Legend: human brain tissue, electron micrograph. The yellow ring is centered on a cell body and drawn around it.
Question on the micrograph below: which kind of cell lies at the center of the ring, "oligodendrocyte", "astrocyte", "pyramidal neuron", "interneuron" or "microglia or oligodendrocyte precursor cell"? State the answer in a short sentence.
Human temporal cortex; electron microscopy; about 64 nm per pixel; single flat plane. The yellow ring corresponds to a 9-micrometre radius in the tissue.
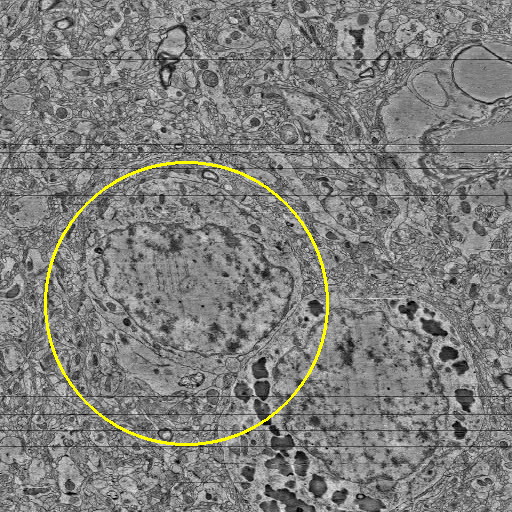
At the center of the ring lies an interneuron.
